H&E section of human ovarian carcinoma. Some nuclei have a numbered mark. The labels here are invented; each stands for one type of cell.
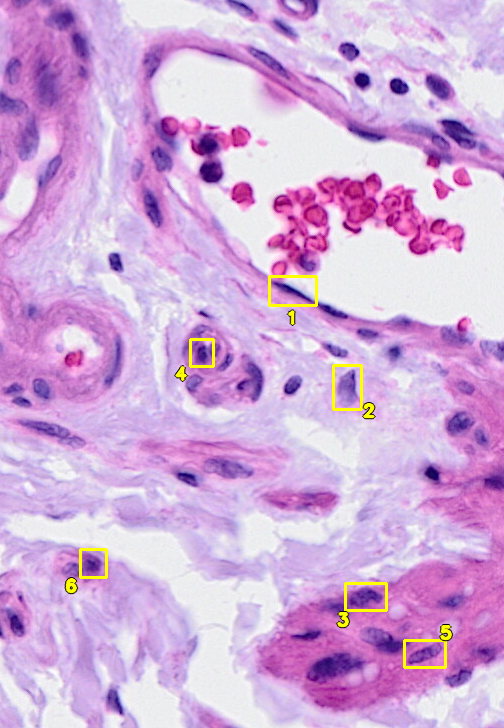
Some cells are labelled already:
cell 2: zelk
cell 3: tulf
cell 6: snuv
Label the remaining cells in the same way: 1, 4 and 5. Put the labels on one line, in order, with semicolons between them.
snuv; snuv; tulf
